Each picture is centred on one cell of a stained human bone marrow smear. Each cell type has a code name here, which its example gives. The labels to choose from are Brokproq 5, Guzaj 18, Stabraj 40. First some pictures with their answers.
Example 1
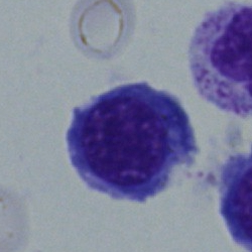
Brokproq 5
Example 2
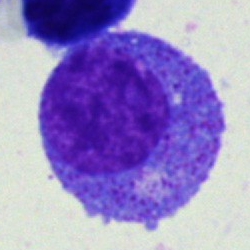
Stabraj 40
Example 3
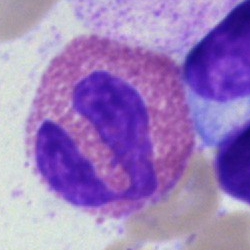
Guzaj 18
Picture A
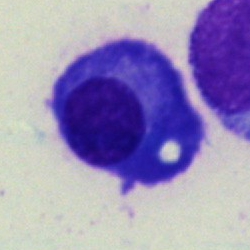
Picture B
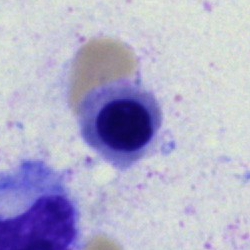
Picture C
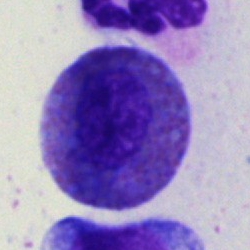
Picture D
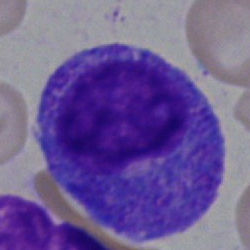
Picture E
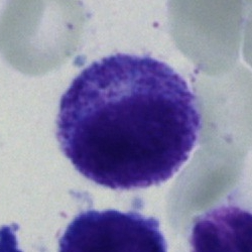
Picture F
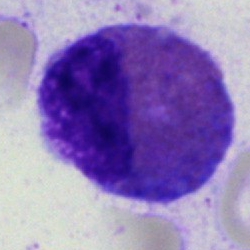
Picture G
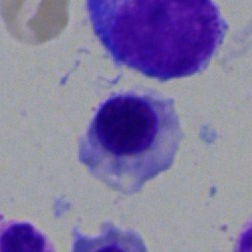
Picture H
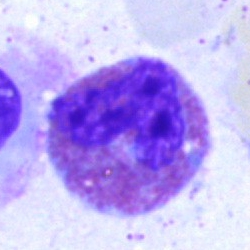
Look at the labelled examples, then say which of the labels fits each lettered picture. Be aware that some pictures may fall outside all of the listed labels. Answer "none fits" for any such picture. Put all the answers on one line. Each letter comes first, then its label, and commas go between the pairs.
A none fits, B Brokproq 5, C Guzaj 18, D Stabraj 40, E Stabraj 40, F Guzaj 18, G Brokproq 5, H Guzaj 18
